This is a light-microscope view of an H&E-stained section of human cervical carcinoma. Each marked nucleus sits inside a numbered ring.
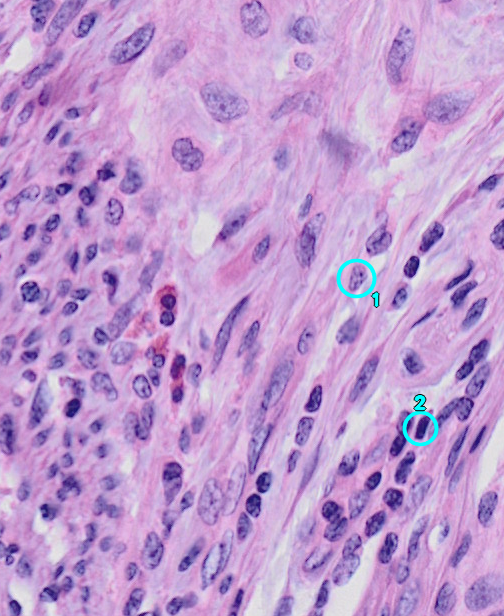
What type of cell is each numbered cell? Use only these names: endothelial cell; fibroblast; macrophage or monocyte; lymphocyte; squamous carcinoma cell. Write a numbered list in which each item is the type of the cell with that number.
1. macrophage or monocyte
2. lymphocyte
